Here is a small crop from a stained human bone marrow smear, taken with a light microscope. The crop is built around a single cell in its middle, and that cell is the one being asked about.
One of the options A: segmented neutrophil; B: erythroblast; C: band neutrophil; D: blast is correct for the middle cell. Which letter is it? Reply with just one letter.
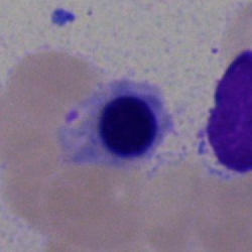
B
